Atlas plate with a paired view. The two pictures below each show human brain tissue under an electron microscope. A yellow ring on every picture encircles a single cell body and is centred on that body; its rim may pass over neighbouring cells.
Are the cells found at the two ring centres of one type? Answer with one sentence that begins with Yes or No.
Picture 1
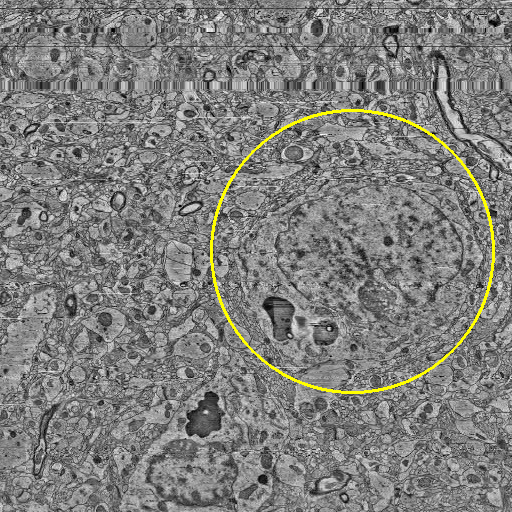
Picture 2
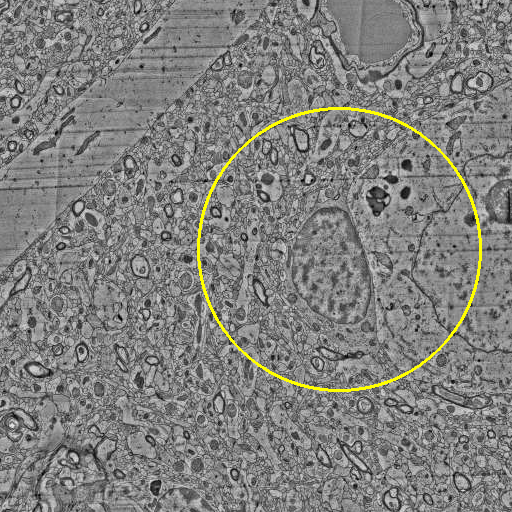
No, the two cells lying at the centres of the rings are of two types.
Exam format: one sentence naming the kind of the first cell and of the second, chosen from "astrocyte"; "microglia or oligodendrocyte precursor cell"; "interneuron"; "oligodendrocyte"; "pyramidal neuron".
The first picture's cell is an interneuron, and the second picture's cell is an oligodendrocyte.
